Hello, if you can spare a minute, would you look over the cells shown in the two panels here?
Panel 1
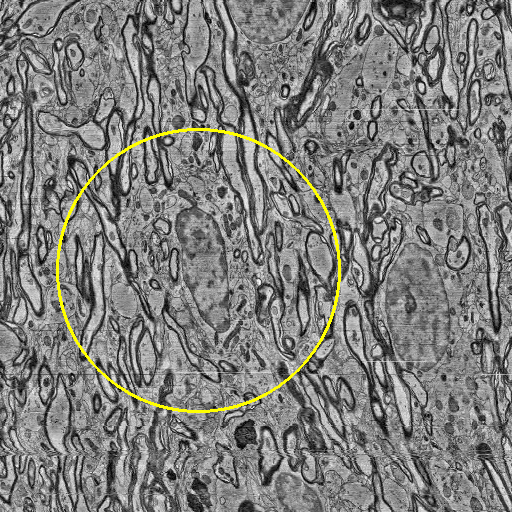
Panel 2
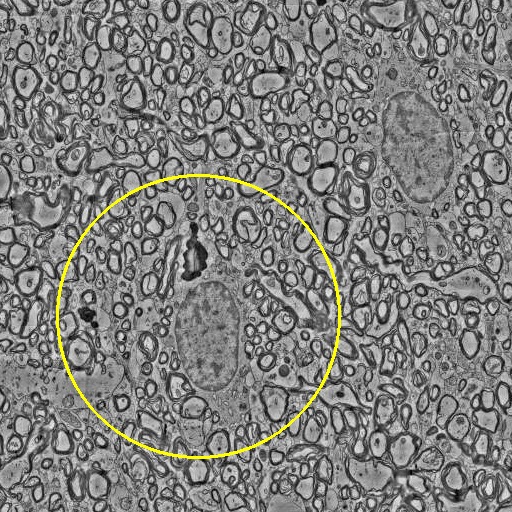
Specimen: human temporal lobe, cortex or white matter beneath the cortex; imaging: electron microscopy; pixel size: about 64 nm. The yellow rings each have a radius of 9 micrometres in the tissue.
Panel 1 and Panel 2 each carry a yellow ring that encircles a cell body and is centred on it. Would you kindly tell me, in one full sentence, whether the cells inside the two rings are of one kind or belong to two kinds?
The cells at the centres of the rings in Panel 1 and Panel 2 belong to two kinds.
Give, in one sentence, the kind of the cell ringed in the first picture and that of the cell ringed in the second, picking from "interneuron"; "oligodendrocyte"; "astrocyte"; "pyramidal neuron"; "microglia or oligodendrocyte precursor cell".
For the first picture it is a microglial cell or oligodendrocyte precursor cell; for the second, an oligodendrocyte.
